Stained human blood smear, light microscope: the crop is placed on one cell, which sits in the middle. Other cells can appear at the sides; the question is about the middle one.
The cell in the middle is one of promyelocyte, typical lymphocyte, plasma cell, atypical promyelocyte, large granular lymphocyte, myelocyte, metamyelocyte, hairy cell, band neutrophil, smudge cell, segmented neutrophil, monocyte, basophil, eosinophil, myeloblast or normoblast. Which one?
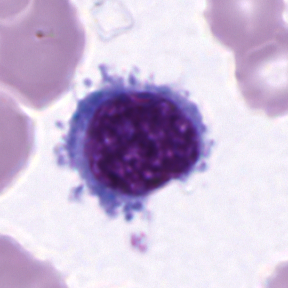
plasma cell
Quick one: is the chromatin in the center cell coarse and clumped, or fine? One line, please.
Heads up, the chromatin in this one is coarsely clumped.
